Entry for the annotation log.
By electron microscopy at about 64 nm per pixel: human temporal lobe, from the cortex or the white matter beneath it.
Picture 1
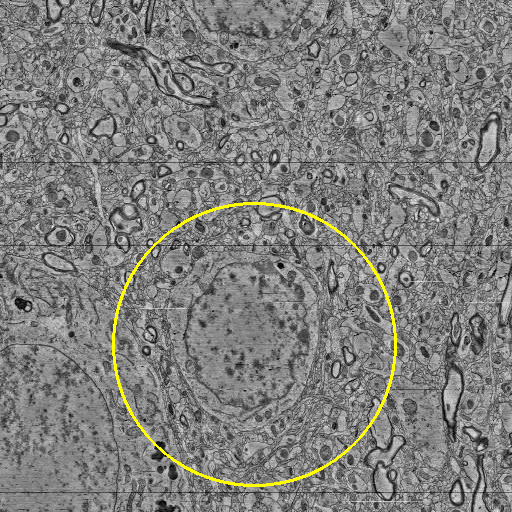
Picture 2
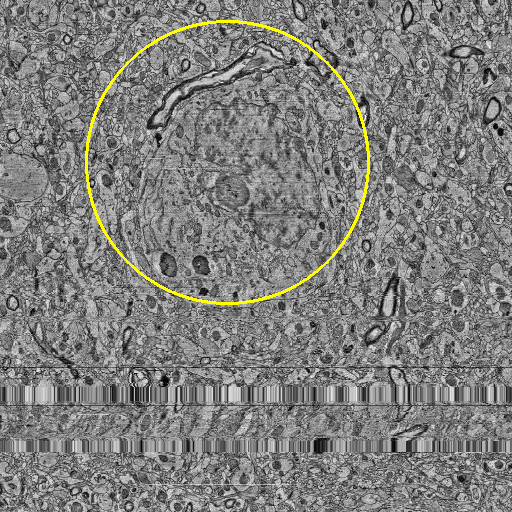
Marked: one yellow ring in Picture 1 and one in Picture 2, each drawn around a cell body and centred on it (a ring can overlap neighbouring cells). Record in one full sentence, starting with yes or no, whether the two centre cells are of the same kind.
Yes, both cells are of the same kind.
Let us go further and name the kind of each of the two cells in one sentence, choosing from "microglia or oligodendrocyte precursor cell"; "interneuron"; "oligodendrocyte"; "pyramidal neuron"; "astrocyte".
The cell at the ring centre is an interneuron in both pictures.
